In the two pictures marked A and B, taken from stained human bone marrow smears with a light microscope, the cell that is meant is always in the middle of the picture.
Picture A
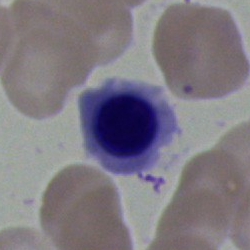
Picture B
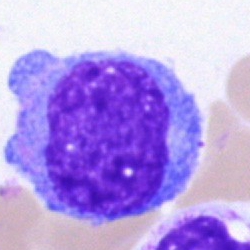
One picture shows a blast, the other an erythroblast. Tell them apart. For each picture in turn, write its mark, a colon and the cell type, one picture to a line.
A: erythroblast
B: blast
